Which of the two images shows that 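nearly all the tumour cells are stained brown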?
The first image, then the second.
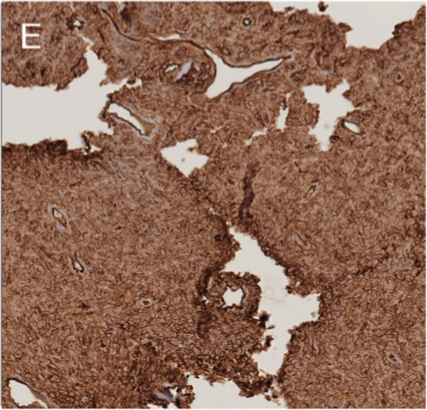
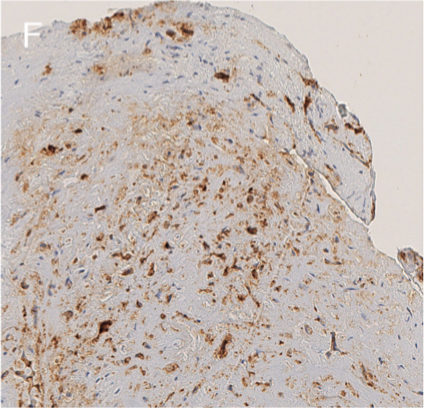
the first image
